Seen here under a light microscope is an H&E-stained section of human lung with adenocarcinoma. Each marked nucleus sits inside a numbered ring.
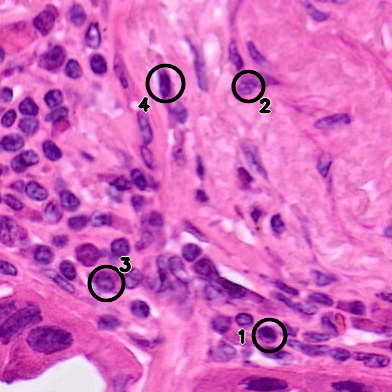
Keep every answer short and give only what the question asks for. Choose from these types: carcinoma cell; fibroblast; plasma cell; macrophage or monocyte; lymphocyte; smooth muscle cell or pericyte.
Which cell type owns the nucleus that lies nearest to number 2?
smooth muscle cell or pericyte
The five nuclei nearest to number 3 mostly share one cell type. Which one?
lymphocyte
